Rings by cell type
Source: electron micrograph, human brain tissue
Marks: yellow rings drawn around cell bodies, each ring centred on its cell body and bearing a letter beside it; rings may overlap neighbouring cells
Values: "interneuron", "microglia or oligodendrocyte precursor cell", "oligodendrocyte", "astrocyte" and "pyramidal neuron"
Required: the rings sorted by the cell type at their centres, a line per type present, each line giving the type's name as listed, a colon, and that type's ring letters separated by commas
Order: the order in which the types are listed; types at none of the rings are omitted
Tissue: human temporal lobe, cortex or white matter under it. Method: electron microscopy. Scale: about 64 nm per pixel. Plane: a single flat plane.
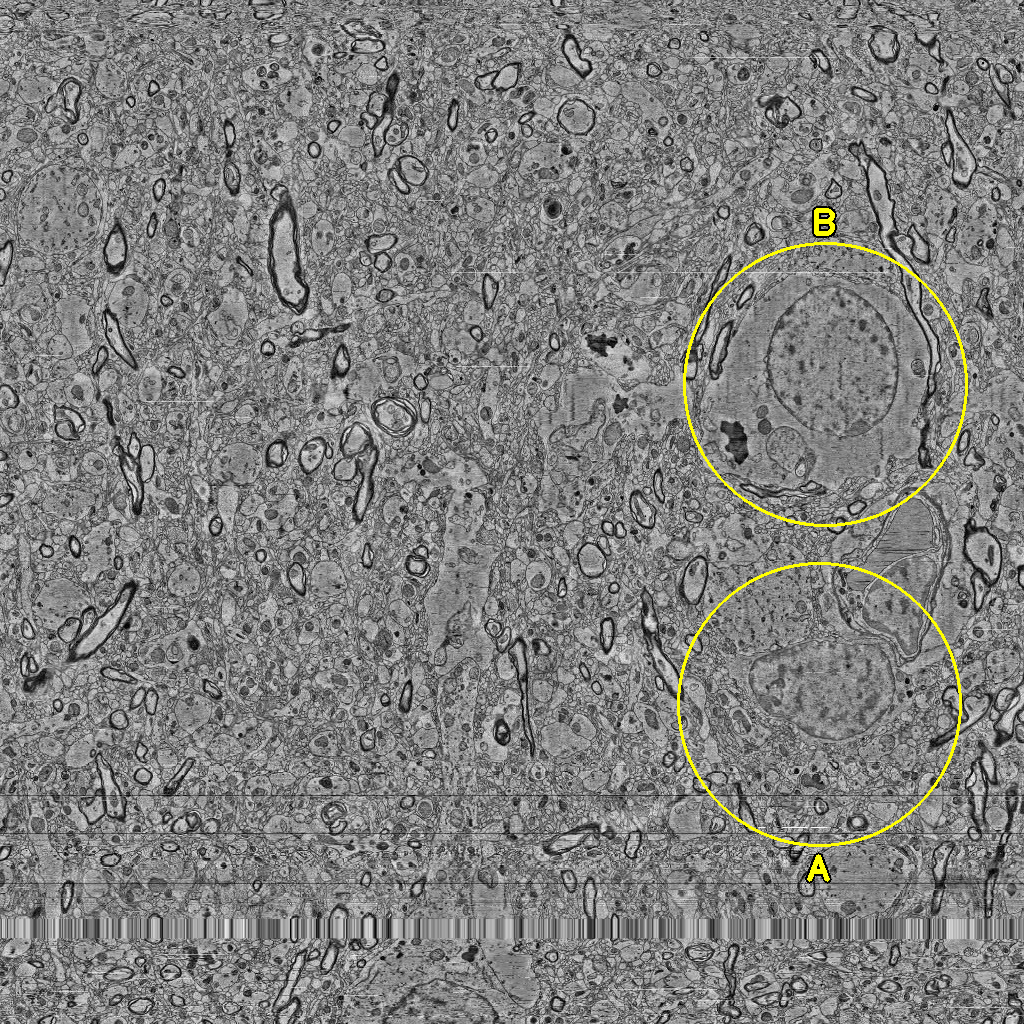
oligodendrocyte: A
astrocyte: B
